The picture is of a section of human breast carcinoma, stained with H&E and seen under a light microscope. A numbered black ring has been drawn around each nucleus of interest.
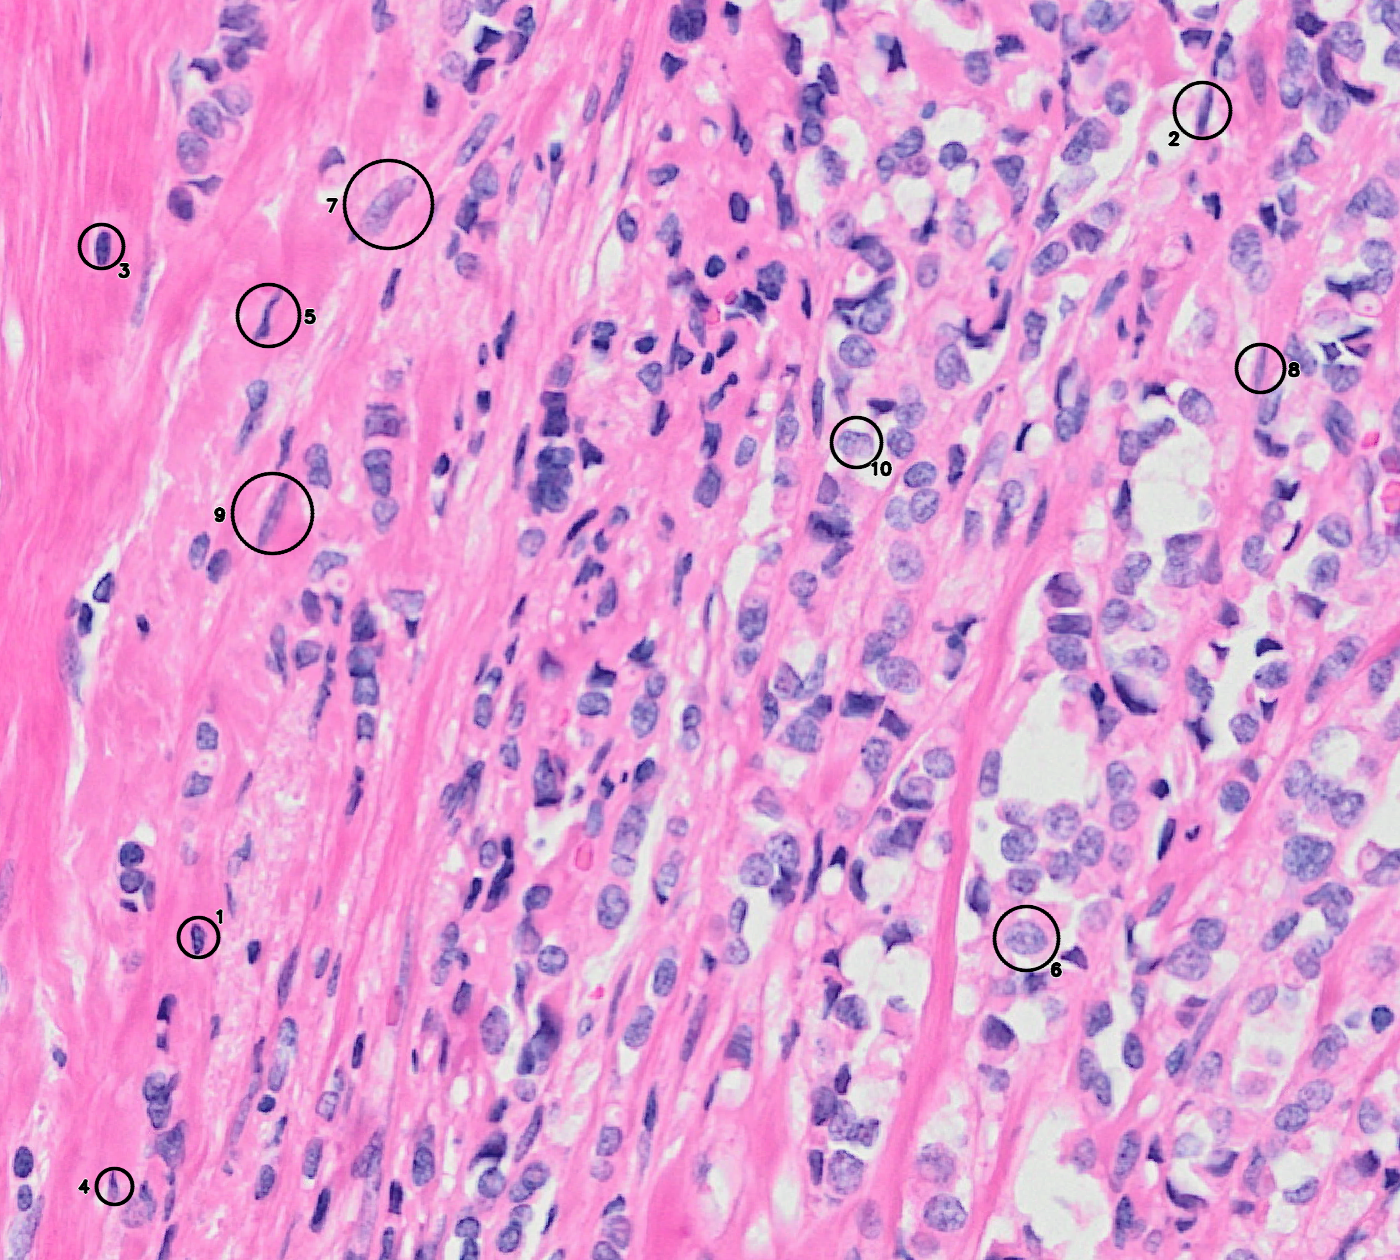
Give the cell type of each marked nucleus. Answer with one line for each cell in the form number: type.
1: lymphocyte
2: fibroblast
3: lymphocyte
4: fibroblast
5: fibroblast
6: carcinoma cell
7: fibroblast
8: fibroblast
9: fibroblast
10: carcinoma cell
